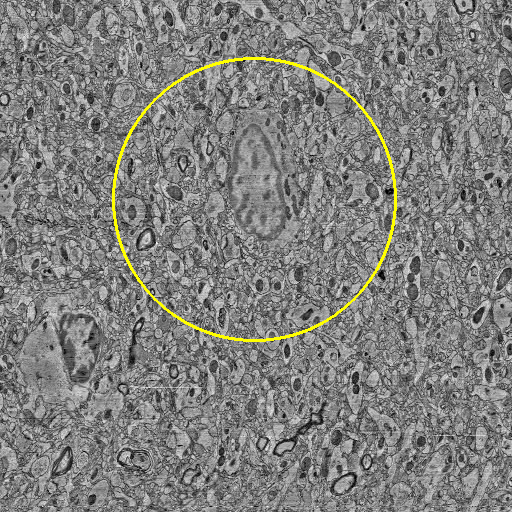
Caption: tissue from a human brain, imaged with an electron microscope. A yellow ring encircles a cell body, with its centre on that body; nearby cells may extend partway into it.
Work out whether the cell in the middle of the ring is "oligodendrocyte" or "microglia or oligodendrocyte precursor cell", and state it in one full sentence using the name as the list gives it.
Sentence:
In the picture, the cell that the yellow ring surrounds at its centre is an oligodendrocyte.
